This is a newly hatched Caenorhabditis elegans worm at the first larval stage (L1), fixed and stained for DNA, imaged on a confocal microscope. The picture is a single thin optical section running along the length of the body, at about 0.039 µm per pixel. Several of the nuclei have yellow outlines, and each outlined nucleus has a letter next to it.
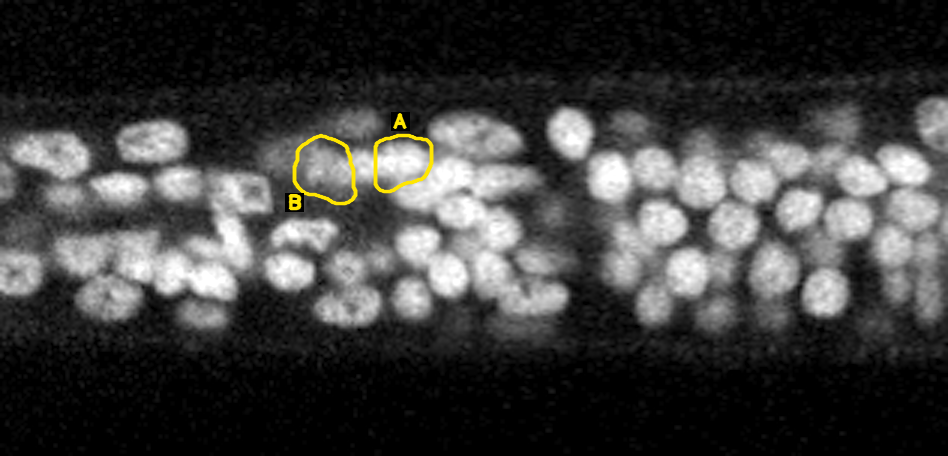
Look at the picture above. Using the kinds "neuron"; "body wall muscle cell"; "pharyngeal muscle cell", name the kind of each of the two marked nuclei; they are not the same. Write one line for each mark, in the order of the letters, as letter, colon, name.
A: neuron
B: pharyngeal muscle cell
